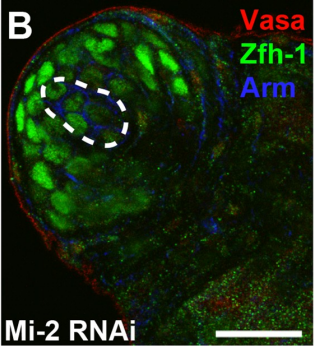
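Apical tip of a testis with a compact hub outlined by a dashed line, its cell borders in blue. The hub is surrounded by many cells with bright green nuclei, while red-stained germ cells are sparse in this region.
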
